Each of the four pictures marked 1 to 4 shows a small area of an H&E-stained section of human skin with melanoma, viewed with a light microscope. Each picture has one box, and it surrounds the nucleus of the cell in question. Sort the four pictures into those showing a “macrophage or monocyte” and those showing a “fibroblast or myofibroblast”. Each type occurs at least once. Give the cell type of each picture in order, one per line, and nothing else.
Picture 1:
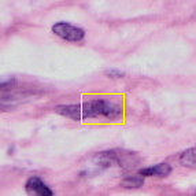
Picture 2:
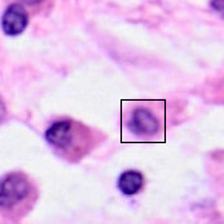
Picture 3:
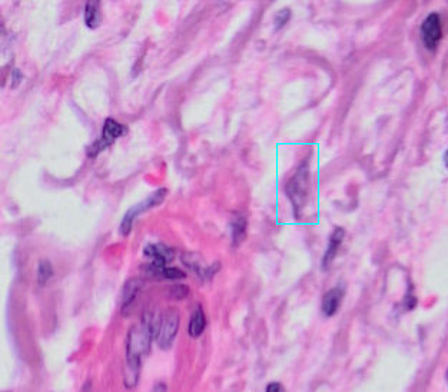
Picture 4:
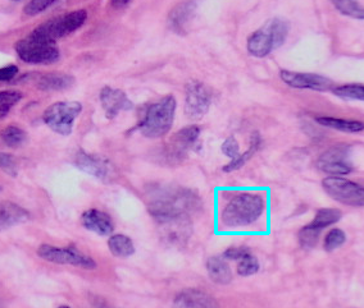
macrophage or monocyte
macrophage or monocyte
fibroblast or myofibroblast
fibroblast or myofibroblast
